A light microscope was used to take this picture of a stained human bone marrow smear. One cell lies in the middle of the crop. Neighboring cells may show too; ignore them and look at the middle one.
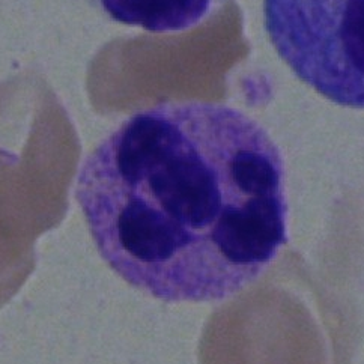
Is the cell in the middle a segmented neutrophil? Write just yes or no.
yes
